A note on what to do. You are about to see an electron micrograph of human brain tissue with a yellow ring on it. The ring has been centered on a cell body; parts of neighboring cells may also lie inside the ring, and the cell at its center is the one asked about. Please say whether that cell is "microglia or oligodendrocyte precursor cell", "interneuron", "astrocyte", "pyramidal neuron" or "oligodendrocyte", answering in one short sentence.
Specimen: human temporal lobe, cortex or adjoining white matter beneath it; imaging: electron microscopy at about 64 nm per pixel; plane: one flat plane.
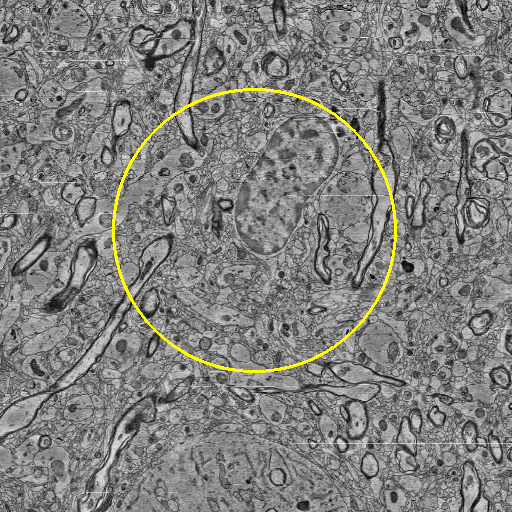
The yellow ring sits on a microglial cell or oligodendrocyte precursor cell.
